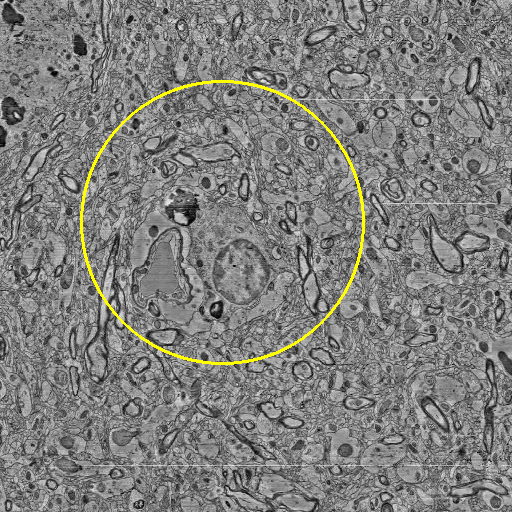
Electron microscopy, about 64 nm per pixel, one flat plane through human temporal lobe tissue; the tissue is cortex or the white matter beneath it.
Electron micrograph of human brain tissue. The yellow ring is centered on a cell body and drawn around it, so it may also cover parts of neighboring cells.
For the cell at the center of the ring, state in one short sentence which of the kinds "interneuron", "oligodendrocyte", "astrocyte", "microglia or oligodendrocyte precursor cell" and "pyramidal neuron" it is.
This ring is centered on an oligodendrocyte.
